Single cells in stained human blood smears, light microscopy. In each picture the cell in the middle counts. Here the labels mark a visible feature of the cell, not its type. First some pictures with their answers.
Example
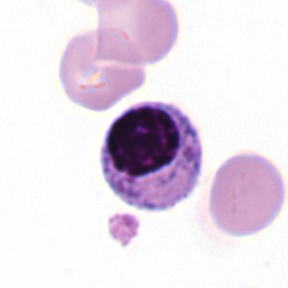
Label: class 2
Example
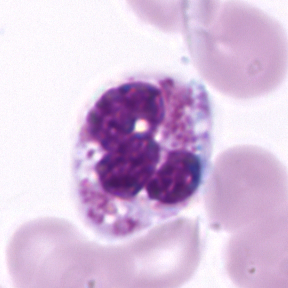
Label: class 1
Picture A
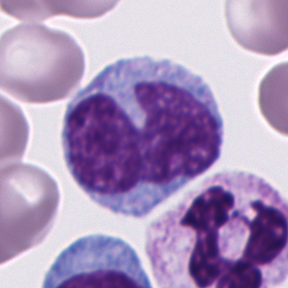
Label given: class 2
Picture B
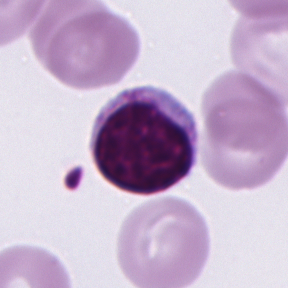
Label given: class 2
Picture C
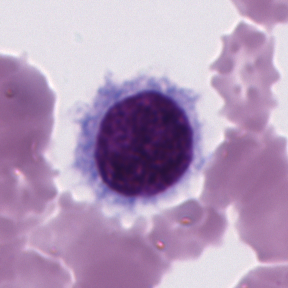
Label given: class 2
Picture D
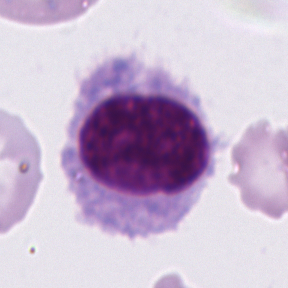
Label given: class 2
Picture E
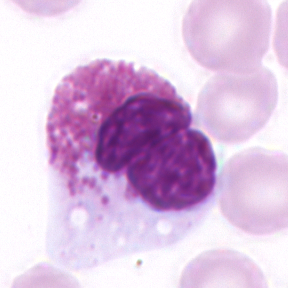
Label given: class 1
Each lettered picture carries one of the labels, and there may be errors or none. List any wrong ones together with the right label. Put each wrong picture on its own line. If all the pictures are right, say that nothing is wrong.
None of the labels needs changing.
